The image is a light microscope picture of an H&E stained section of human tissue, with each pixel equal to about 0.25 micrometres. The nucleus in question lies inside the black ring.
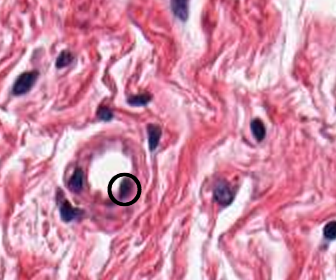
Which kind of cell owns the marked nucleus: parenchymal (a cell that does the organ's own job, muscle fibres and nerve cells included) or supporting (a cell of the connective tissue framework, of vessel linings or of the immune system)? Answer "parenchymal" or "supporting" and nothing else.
supporting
